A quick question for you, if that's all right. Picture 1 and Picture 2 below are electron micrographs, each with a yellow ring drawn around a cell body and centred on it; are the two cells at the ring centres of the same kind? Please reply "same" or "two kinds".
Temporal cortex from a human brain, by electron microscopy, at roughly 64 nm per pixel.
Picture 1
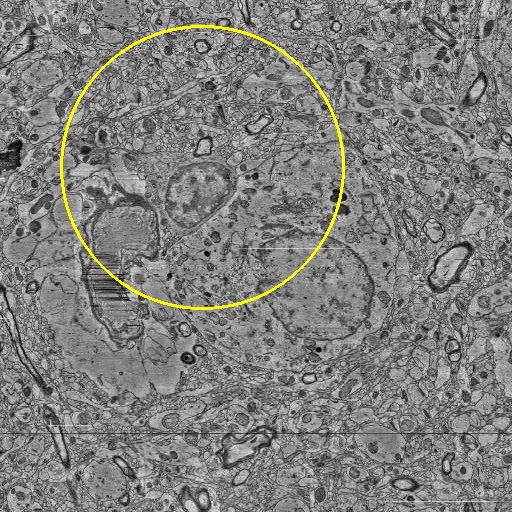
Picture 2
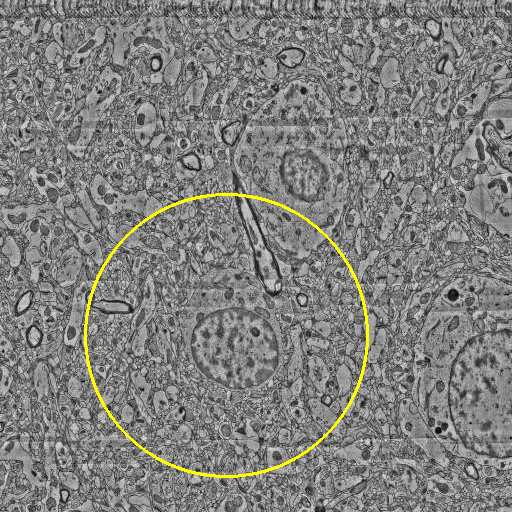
same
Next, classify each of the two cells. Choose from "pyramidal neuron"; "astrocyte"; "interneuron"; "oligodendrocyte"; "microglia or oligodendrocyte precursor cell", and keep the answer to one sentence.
Each cell, in the first picture and the second, is an oligodendrocyte.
